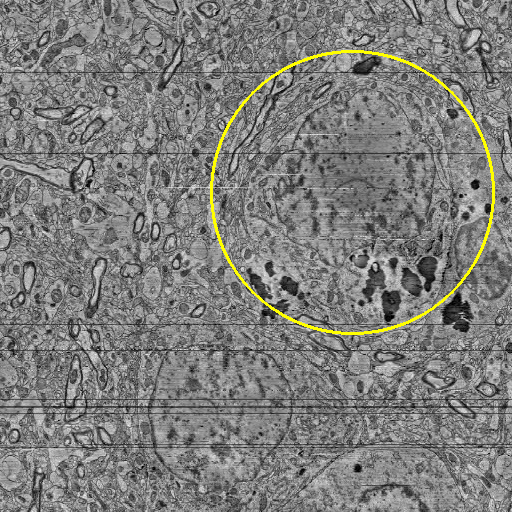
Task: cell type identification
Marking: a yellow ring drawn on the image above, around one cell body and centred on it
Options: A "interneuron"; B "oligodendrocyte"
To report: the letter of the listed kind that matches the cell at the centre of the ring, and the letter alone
A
